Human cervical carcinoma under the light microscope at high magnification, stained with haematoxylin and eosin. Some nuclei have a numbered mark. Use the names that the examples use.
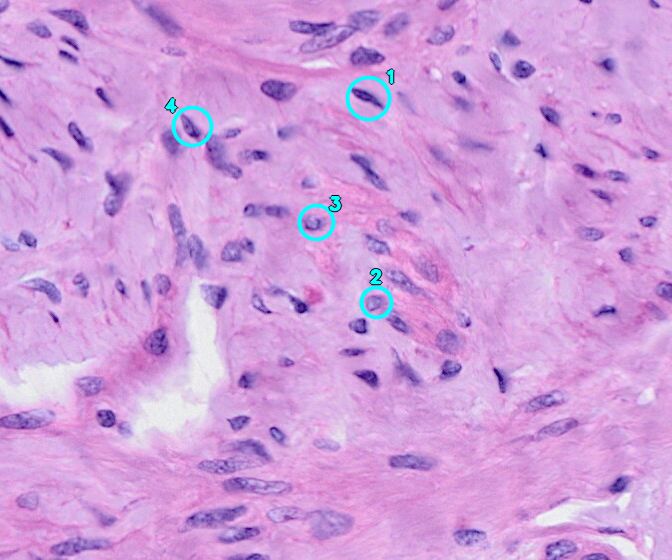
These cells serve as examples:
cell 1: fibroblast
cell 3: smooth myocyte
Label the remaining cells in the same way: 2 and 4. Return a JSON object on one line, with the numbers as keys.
{"2": "smooth myocyte", "4": "fibroblast"}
